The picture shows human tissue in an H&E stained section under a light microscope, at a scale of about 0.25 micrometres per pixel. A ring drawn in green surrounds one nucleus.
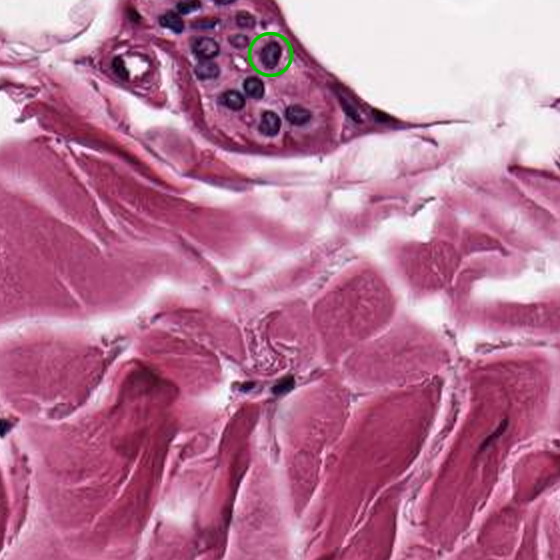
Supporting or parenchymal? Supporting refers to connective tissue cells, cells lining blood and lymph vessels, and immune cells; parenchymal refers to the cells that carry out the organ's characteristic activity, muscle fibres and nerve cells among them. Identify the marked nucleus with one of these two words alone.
parenchymal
